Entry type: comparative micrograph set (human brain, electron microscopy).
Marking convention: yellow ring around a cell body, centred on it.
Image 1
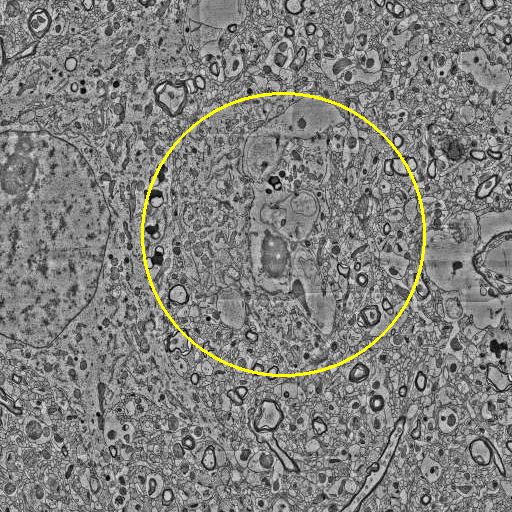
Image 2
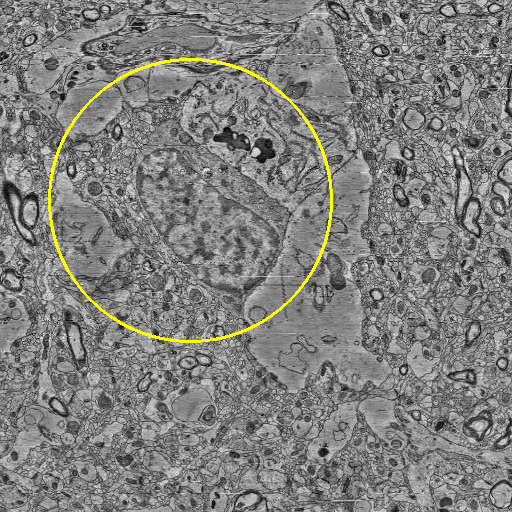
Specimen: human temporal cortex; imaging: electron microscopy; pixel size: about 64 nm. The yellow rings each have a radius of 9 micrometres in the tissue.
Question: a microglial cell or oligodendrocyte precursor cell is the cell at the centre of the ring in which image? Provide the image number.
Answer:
1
